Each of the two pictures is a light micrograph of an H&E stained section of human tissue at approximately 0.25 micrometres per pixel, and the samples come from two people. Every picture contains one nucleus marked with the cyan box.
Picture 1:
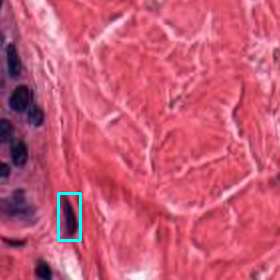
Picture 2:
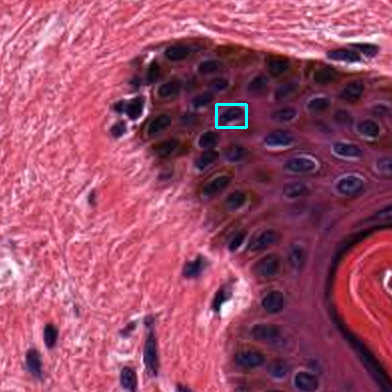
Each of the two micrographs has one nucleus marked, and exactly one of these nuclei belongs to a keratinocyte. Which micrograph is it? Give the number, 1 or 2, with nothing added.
2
